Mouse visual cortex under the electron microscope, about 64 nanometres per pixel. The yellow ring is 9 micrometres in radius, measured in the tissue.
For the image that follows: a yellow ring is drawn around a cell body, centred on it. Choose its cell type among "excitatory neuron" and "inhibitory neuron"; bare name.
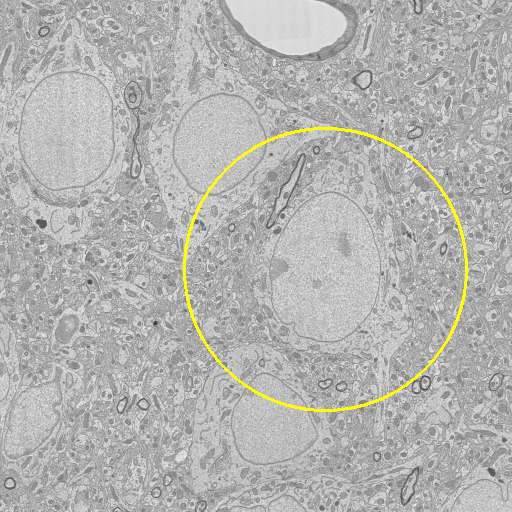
excitatory neuron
